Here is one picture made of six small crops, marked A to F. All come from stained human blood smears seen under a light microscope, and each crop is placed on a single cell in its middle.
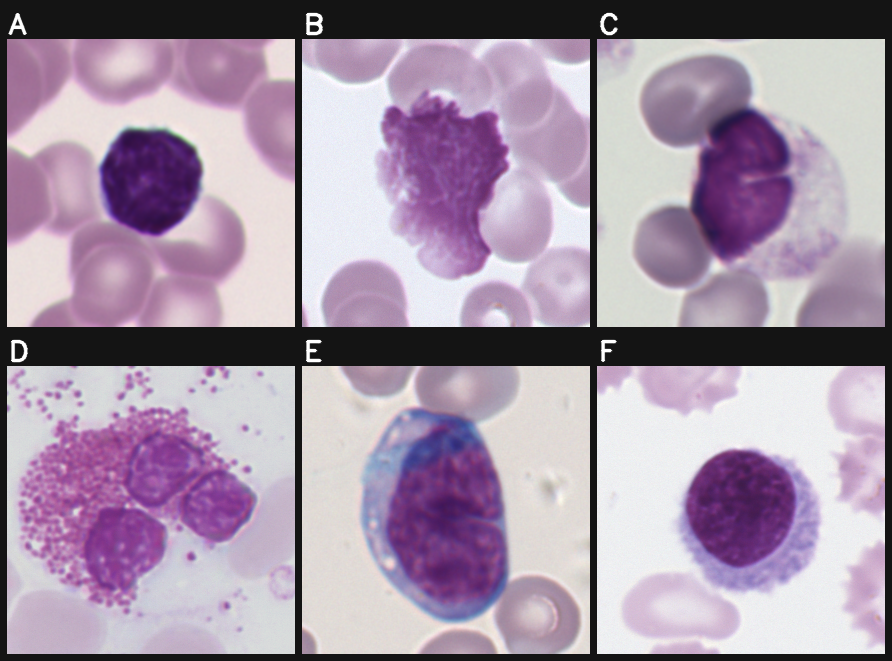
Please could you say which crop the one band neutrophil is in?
C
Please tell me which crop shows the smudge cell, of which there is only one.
B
